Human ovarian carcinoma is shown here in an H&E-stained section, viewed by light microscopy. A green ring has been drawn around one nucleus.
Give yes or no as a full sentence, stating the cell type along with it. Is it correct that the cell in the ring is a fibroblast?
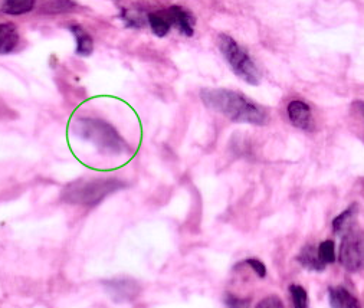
Yes, in this field of view, the cell in the ring is a fibroblast.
